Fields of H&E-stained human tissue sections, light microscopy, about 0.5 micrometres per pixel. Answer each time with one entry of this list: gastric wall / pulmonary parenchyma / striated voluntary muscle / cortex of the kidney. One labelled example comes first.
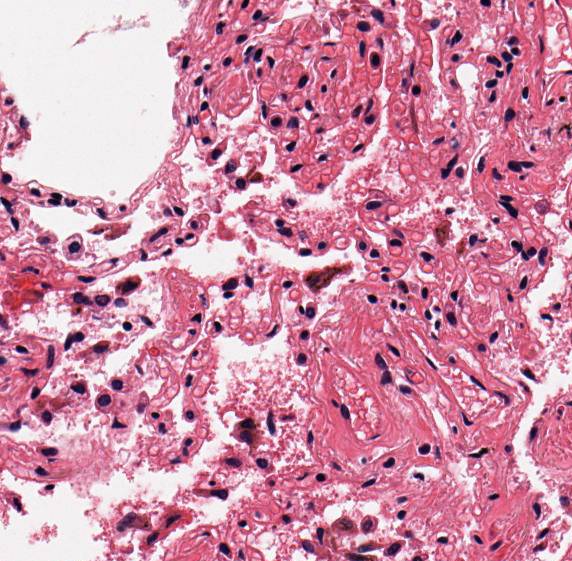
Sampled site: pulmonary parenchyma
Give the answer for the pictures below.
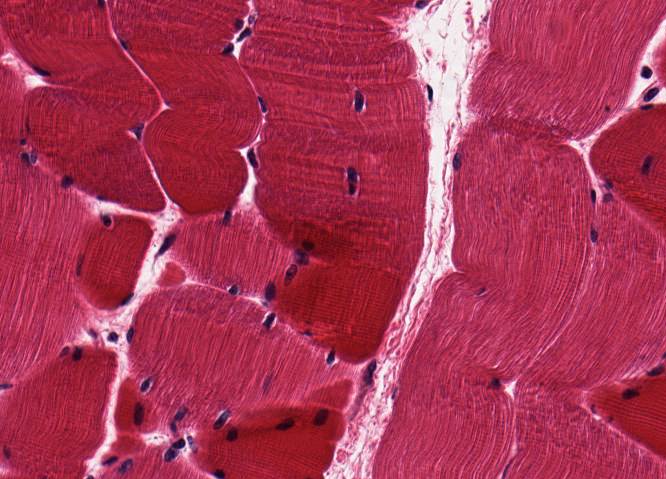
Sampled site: striated voluntary muscle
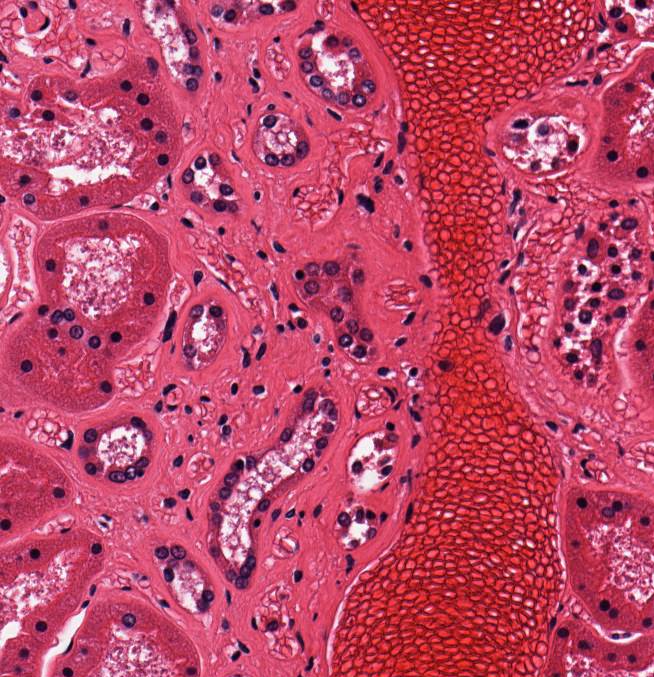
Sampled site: cortex of the kidney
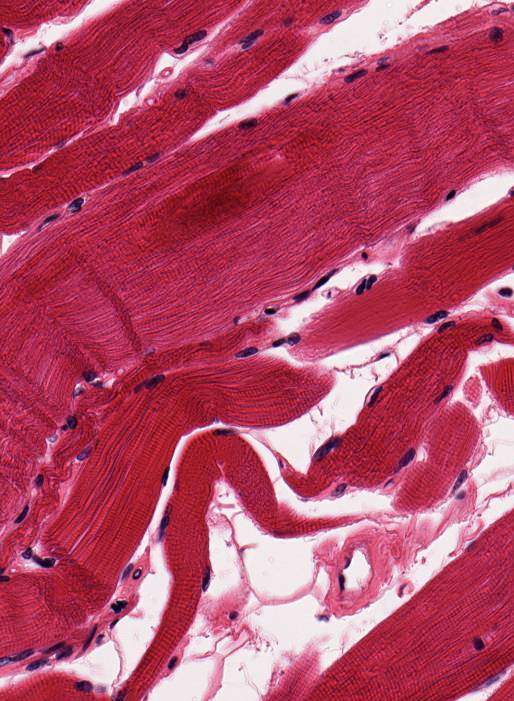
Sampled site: striated voluntary muscle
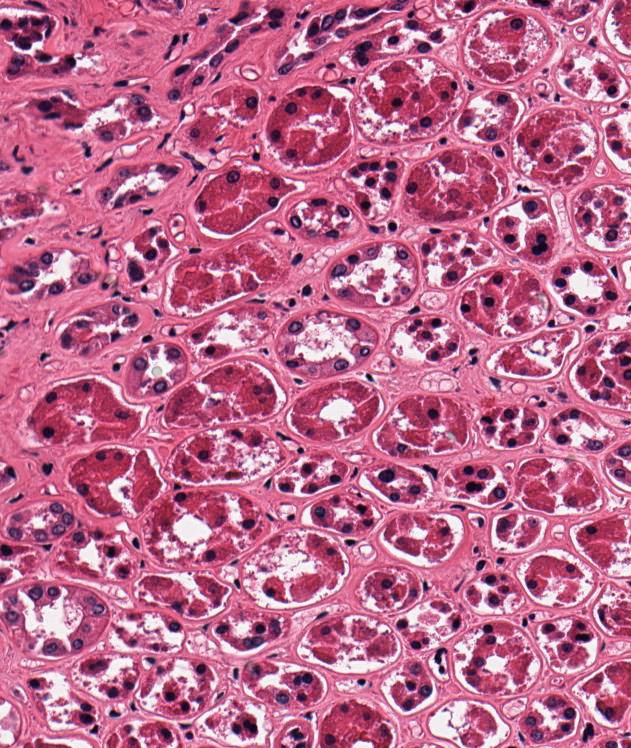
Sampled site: cortex of the kidney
